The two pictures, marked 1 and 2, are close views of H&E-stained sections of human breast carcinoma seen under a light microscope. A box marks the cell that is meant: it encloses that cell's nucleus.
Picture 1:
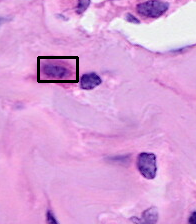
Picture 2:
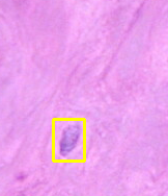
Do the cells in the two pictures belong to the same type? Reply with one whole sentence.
No, picture 1 shows a mast cell and picture 2 shows a fibroblast.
